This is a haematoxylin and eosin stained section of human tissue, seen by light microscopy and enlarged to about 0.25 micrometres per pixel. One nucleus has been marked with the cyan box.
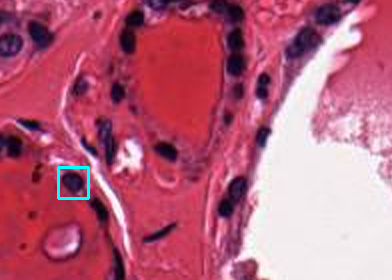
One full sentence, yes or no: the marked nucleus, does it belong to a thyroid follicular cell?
Yes, the nucleus indicated by the marking belongs to a thyroid follicular cell.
